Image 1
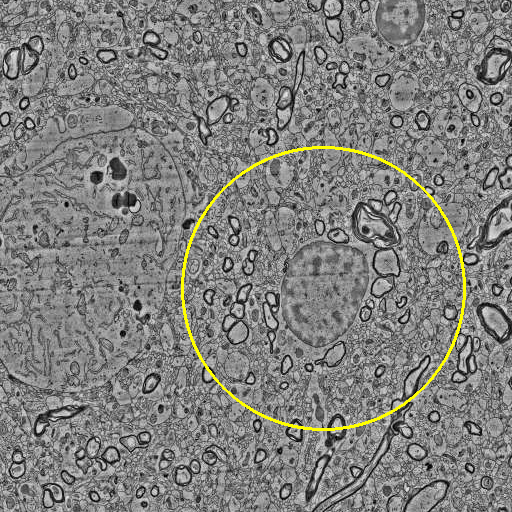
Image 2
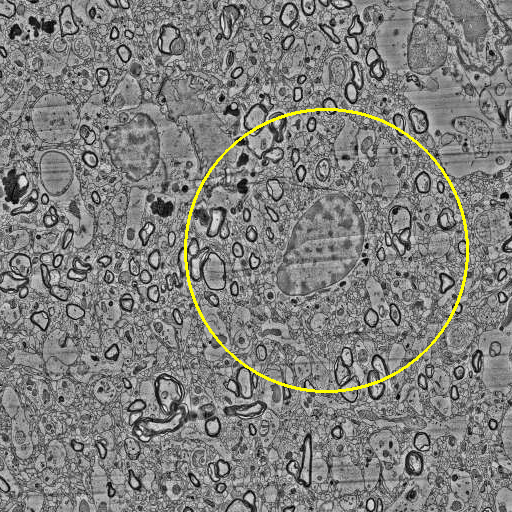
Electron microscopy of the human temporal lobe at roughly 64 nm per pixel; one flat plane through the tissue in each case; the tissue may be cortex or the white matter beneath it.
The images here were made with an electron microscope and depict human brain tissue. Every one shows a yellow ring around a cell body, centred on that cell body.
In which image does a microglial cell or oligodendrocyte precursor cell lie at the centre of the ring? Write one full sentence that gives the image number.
My answer is image 2, where the asked-for cell sits at the centre of the ring.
